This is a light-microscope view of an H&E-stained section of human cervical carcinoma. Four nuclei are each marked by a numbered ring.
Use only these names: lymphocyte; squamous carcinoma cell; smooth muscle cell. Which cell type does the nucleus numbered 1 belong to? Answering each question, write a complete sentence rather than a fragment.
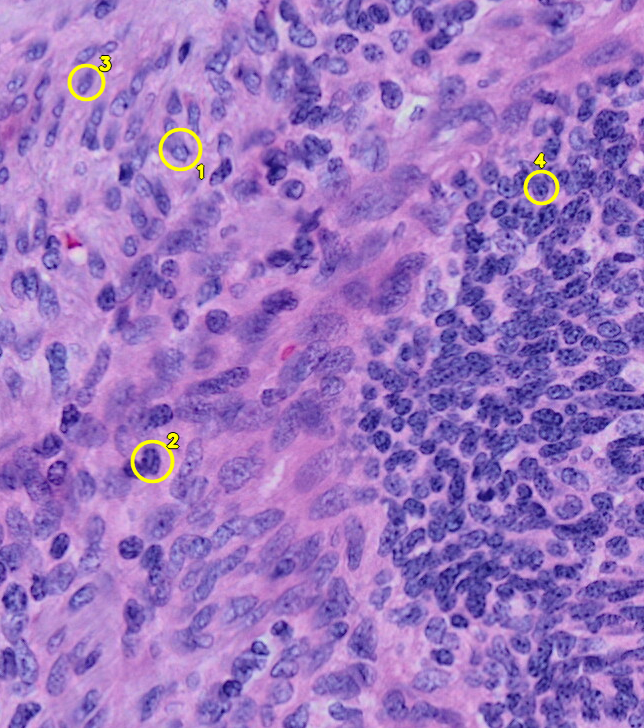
The cell assigned the number 1 is a smooth muscle cell.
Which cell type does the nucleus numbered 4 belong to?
Marked with the number 4, this cell is a squamous carcinoma cell.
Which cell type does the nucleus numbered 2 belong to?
To a lymphocyte belongs the nucleus marked 2.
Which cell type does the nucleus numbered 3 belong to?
In this section, the cell tagged 3 is a smooth muscle cell.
